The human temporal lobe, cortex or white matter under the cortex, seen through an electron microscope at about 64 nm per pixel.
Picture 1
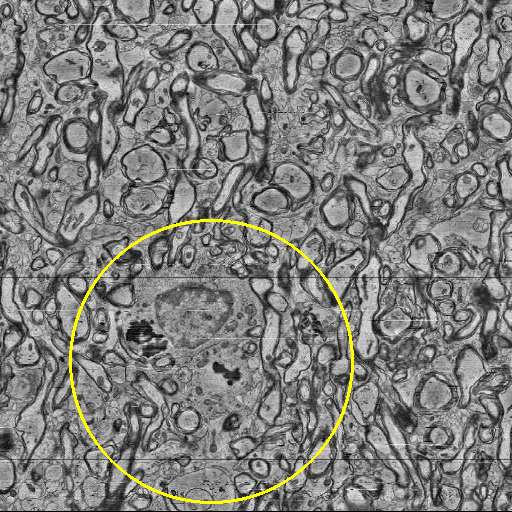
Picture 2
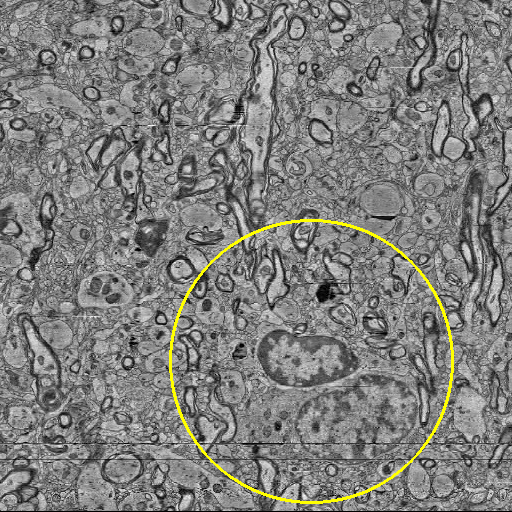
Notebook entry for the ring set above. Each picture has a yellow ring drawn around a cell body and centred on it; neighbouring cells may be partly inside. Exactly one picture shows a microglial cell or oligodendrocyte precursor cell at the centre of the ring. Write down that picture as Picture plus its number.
Picture 2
